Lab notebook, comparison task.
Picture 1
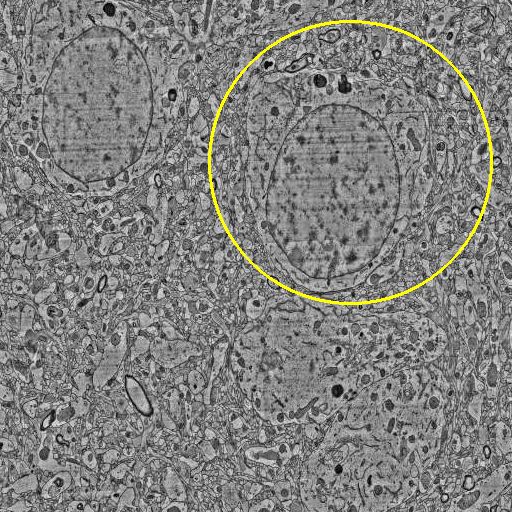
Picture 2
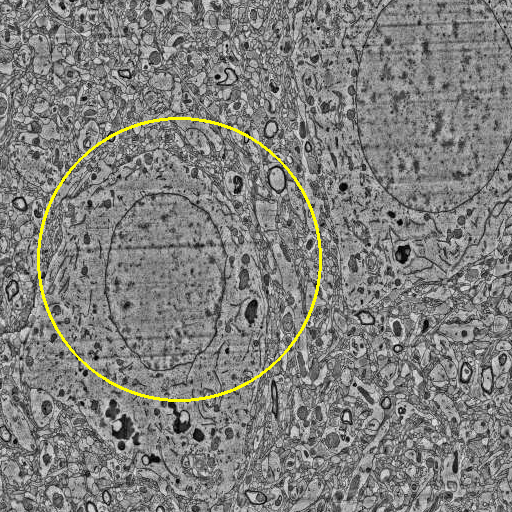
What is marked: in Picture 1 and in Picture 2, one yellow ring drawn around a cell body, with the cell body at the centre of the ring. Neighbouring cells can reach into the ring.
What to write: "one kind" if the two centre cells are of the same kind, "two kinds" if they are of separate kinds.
one kind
